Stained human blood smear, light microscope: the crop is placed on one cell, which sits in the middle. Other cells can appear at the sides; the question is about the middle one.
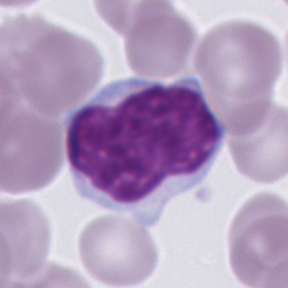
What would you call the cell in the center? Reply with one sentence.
Where the crop is centred, there is a large granular lymphocyte.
